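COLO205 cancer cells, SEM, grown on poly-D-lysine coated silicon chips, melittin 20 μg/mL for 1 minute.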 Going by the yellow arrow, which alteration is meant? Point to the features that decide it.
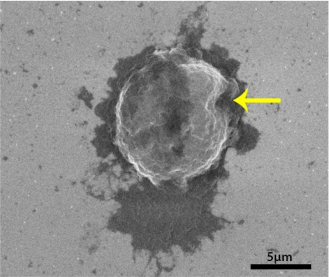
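The cell surface is rough and irregular. A dark, ragged halo of material surrounds the cell on the substrate. So: cellular and membrane damage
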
